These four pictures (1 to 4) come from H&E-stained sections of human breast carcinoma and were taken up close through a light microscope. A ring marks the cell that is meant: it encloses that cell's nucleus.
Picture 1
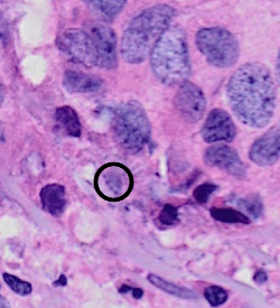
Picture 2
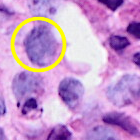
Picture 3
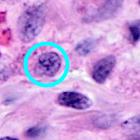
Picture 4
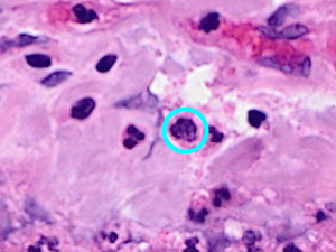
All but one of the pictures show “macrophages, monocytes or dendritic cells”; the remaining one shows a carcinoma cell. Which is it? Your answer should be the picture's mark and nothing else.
2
